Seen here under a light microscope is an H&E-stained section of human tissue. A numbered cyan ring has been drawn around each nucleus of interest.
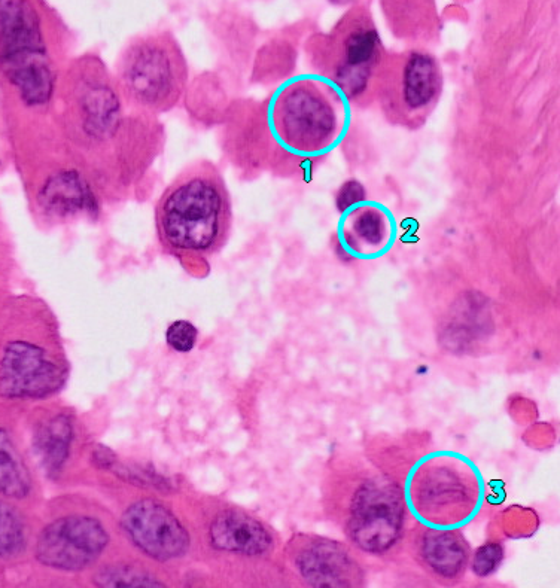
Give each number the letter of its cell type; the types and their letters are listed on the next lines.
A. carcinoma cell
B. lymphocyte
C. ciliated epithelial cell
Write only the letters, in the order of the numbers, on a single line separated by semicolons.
A; B; A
